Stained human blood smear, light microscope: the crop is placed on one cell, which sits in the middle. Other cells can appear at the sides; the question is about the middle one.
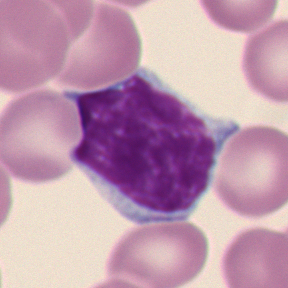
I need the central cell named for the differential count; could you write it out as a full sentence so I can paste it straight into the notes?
Looking at the middle of the crop, the cell there is a lymphocyte.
